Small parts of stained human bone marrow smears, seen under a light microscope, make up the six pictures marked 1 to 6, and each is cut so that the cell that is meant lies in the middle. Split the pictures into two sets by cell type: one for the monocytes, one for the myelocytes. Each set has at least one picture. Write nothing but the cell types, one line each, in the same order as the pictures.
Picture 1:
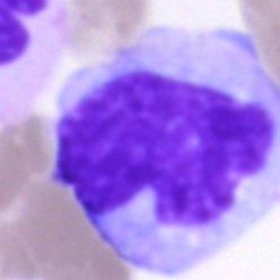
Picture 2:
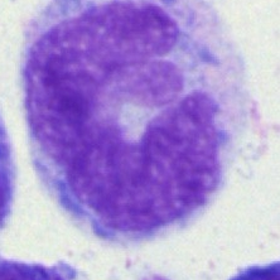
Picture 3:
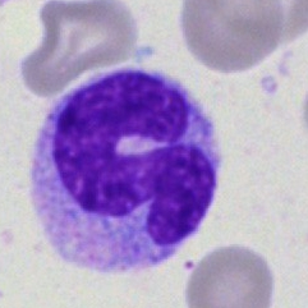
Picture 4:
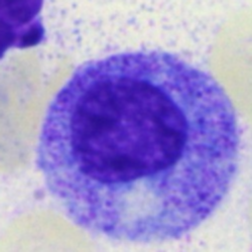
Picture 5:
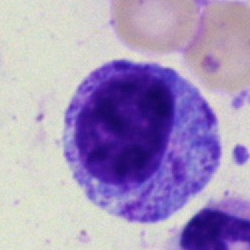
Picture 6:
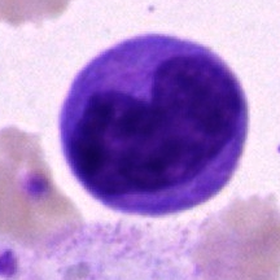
monocyte
monocyte
monocyte
myelocyte
myelocyte
monocyte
